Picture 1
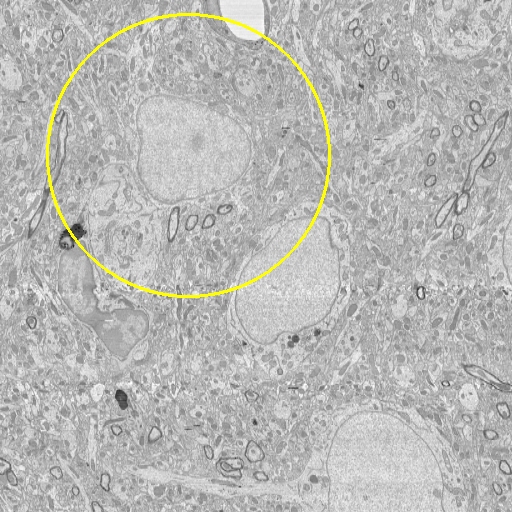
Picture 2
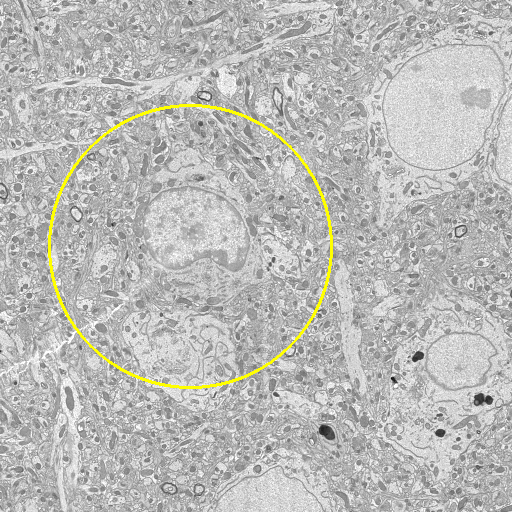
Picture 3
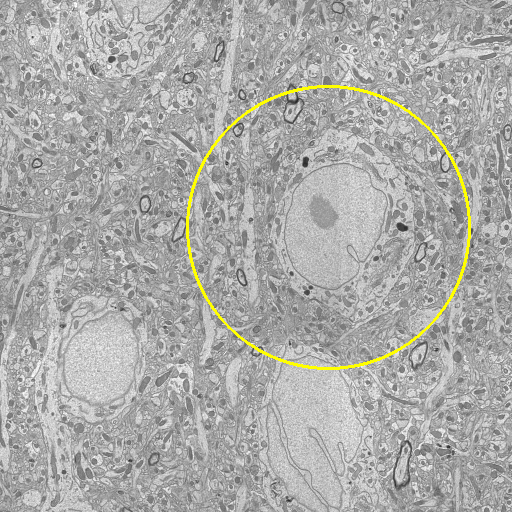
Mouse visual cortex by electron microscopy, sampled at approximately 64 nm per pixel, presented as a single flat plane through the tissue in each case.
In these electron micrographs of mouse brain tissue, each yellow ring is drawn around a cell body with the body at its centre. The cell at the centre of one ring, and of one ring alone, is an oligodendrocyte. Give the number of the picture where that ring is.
2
